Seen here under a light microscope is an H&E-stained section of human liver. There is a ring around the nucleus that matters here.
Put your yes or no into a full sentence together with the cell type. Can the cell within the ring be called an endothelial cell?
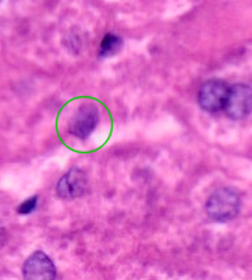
Yes, it is an endothelial cell that the cell within the ring is.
